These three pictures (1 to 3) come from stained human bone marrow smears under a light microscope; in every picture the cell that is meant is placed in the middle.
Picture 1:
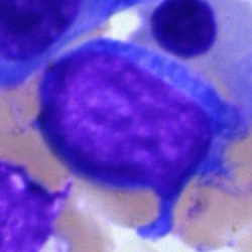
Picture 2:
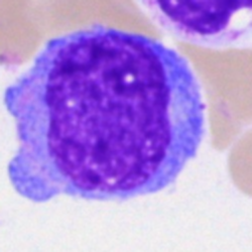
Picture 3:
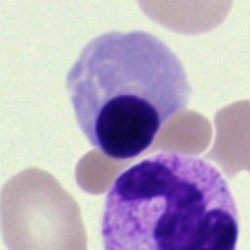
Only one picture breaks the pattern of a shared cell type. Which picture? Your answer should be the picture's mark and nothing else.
3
